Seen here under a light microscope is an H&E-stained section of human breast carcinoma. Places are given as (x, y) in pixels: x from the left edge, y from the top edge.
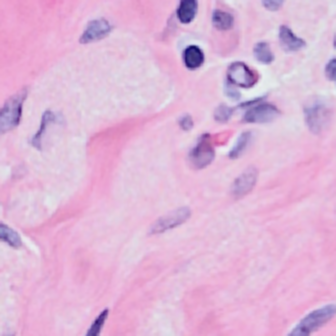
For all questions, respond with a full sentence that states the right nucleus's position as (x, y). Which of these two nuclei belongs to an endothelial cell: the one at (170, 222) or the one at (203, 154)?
Among the two nuclei, the one lying at (203, 154) is part of an endothelial cell.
